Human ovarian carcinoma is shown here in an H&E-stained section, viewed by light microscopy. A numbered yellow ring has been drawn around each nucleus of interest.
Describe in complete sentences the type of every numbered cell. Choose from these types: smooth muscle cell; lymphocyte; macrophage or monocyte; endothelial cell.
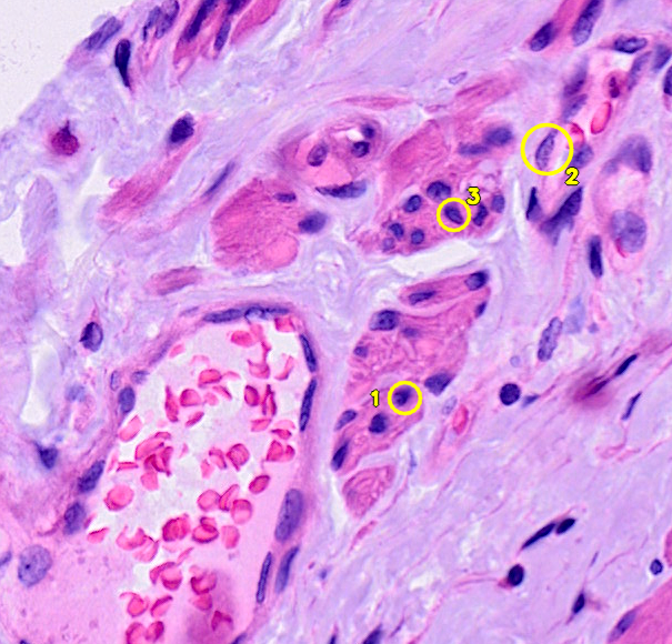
Cell 1 is a smooth muscle cell, cell 2 is an endothelial cell and cell 3 is a smooth muscle cell.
